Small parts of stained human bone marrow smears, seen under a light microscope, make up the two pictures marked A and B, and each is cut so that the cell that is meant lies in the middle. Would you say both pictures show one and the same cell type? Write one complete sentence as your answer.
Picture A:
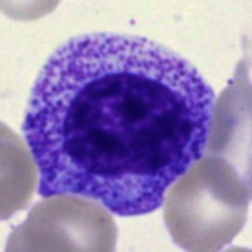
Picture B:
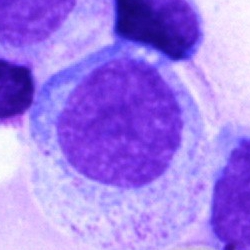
Yes; the cells in both pictures are myelocytes.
